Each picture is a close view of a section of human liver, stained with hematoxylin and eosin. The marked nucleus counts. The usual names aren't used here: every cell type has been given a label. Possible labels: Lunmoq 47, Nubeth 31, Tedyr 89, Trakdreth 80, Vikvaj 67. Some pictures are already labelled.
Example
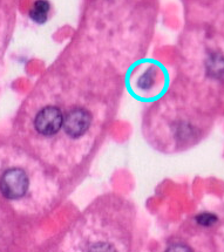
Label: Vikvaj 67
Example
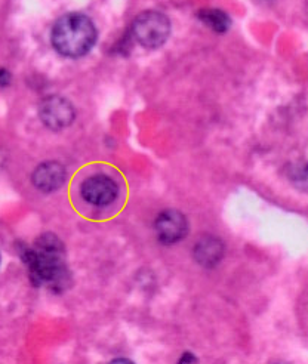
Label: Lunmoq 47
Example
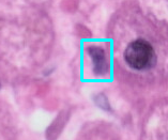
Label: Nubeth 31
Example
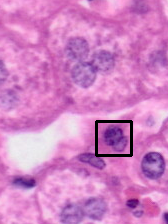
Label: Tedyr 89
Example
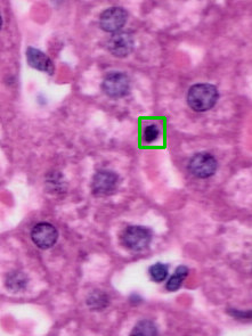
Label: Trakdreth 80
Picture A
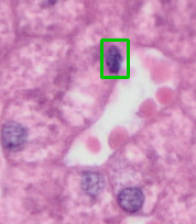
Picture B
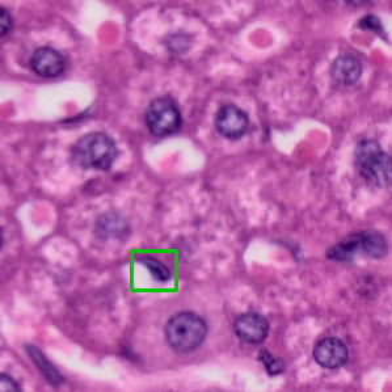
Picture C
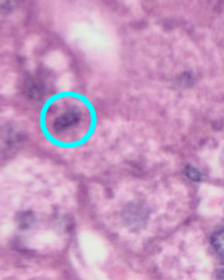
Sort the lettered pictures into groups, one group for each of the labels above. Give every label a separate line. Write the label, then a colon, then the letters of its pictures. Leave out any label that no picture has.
Nubeth 31: B
Trakdreth 80: A, C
